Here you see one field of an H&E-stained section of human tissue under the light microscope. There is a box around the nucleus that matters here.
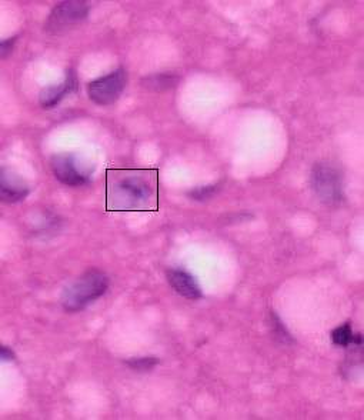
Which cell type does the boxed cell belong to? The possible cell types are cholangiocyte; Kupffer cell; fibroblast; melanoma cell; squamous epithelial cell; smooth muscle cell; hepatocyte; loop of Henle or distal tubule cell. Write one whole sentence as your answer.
This is a squamous epithelial cell.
